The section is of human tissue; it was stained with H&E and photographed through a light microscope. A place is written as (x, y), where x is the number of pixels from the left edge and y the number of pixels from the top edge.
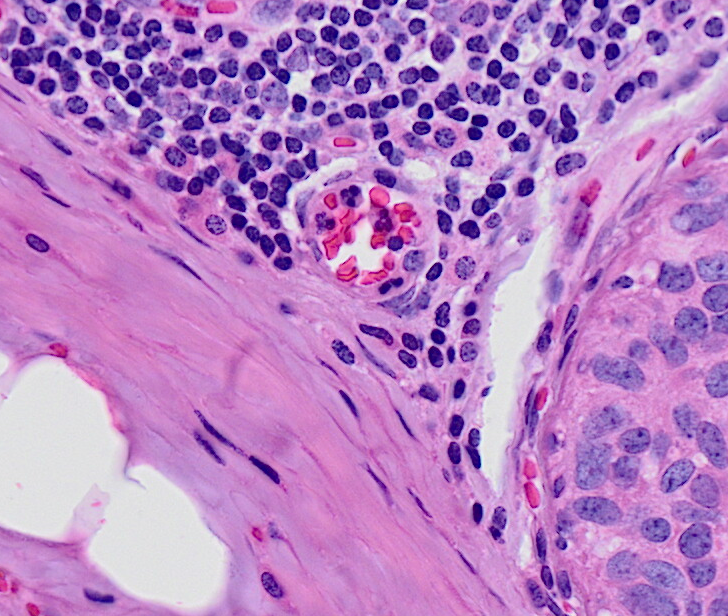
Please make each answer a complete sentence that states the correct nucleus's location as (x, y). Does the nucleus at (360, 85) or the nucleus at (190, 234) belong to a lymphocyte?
Located at (360, 85), this nucleus is the one belonging to a lymphocyte.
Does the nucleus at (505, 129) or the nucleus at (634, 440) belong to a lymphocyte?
Lying within a lymphocyte is the nucleus at (505, 129).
